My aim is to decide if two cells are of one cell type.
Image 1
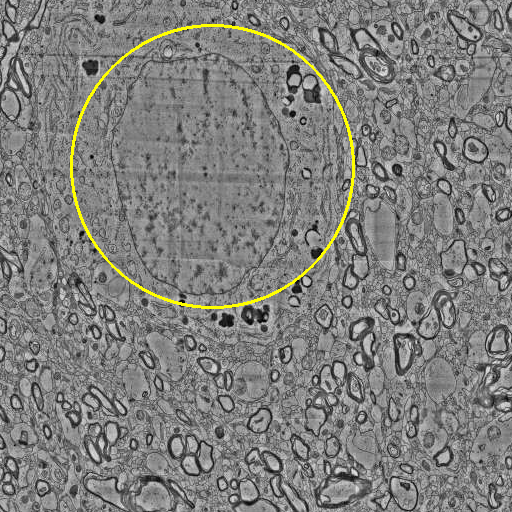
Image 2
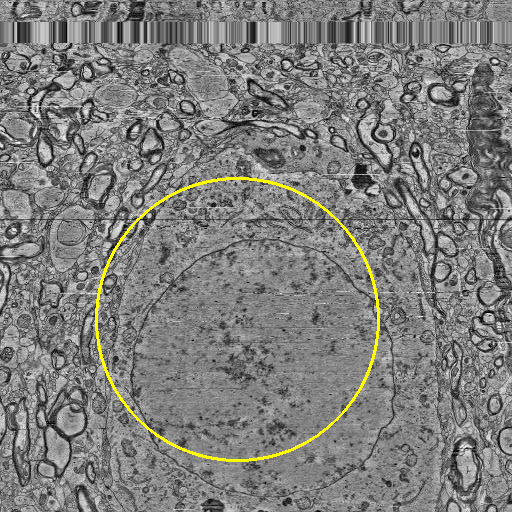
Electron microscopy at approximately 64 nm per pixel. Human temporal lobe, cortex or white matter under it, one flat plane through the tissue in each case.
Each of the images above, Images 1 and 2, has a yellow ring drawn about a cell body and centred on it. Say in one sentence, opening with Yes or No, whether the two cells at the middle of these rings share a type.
Yes, in Images 1 and 2 the cells at the middle of the rings share one type.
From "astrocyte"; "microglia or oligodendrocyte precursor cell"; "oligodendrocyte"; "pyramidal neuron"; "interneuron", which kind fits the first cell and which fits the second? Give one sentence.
In each picture the ringed cell is a pyramidal neuron.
